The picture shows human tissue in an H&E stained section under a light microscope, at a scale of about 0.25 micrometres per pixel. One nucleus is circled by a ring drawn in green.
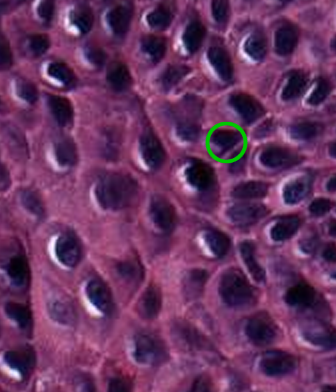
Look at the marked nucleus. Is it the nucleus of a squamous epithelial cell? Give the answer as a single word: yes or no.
yes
